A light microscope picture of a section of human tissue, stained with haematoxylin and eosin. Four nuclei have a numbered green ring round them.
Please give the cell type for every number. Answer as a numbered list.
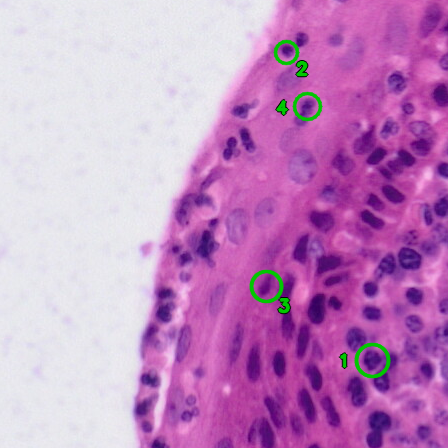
1. plasma cell
2. squamous epithelial cell
3. squamous epithelial cell
4. squamous epithelial cell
